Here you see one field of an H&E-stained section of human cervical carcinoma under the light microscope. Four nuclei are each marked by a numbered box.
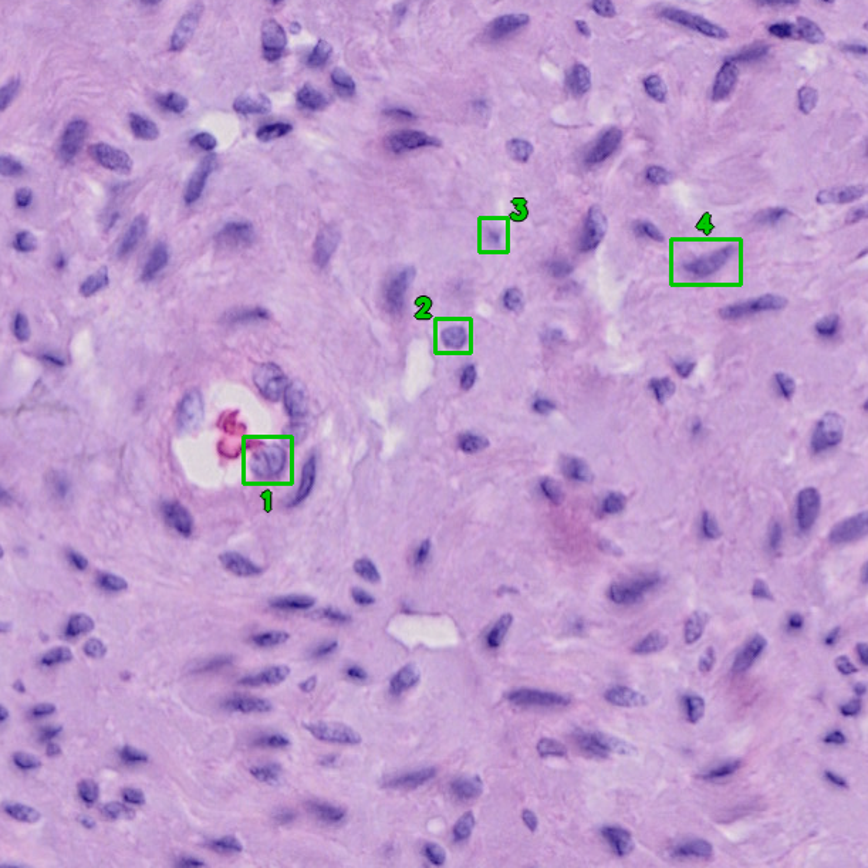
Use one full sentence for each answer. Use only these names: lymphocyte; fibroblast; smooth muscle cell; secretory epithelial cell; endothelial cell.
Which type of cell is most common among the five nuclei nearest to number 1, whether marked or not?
Endothelial cells account for more than half of the five nuclei nearest to number 1.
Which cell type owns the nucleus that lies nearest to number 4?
The cell nearest to number 4 is a fibroblast.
